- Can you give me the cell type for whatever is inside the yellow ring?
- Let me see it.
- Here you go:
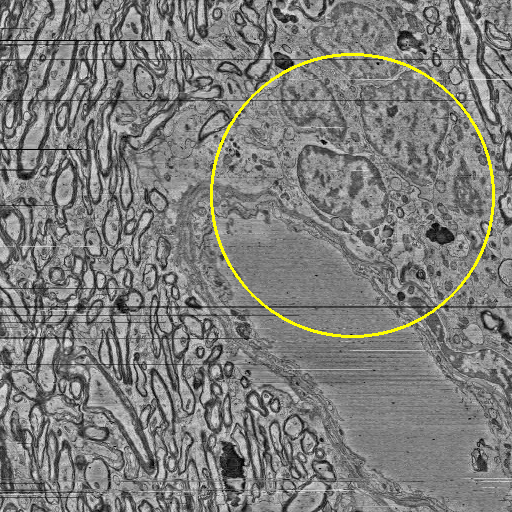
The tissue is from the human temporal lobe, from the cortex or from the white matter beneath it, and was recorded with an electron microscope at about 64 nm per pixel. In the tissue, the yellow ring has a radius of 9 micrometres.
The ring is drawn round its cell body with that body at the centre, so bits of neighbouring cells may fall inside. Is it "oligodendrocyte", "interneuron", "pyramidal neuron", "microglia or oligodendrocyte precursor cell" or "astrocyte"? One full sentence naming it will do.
The cell body in the middle of the ring in this picture belongs to a microglial cell or oligodendrocyte precursor cell.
